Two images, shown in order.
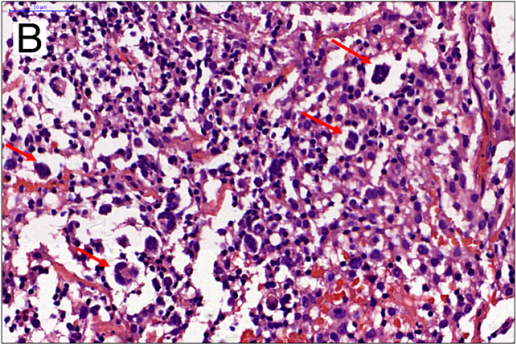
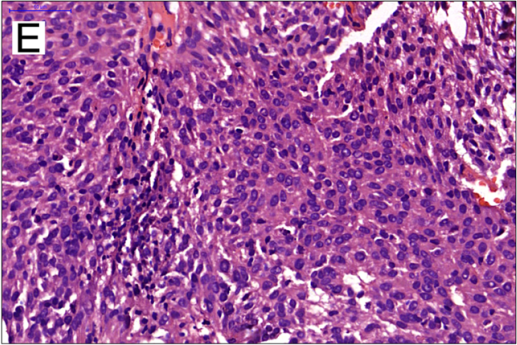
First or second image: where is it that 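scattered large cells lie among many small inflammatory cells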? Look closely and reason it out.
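The first image. First image: scattered large cells in clear spaces among numerous small dark cells.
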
